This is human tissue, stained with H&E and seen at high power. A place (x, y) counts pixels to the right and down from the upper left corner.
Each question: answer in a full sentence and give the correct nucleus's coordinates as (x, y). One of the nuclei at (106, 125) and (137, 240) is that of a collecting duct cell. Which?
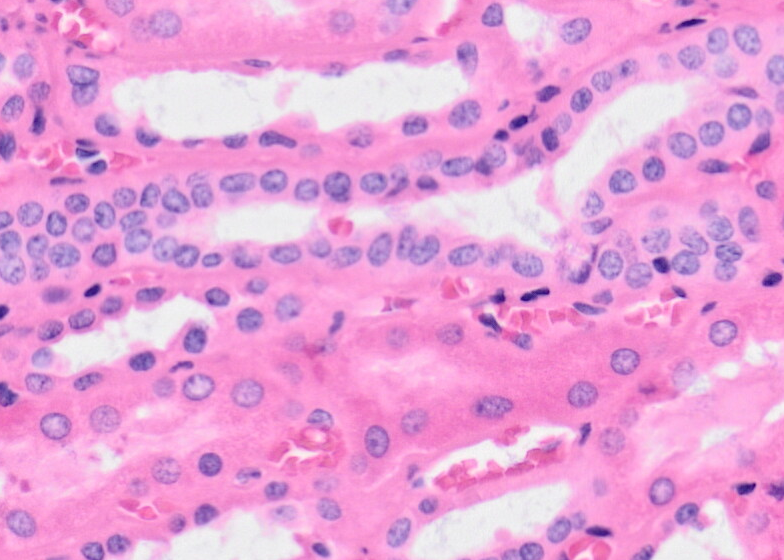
Of the two, the nucleus lying at (137, 240) is the one belonging to a collecting duct cell.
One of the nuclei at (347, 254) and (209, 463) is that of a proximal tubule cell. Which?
Between the two nuclei, the one sitting at (209, 463) belongs to a proximal tubule cell.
